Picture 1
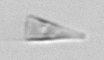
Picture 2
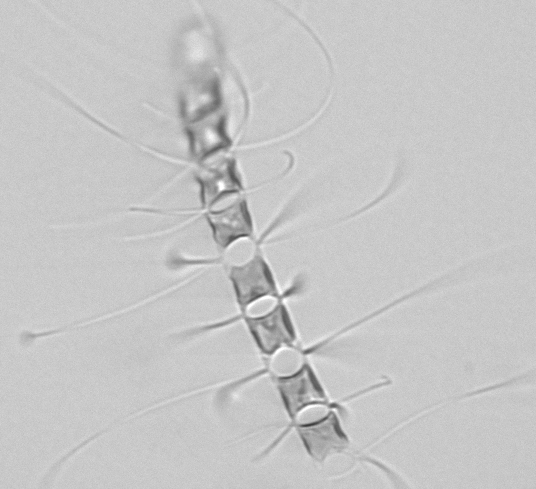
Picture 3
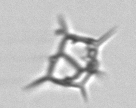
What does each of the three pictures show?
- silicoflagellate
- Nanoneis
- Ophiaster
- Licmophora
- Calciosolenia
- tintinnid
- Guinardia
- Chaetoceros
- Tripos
1: Licmophora
2: Chaetoceros
3: silicoflagellate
